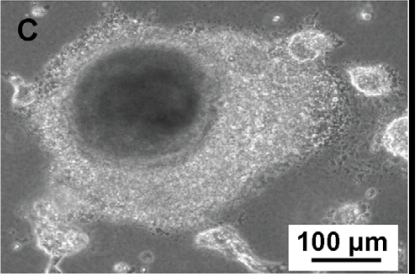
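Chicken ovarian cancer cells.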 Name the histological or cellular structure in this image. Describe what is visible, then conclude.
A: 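Large sphere-like structure. A very large rounded mass with a dark, dense centre fills the middle of the field. A paler granular rim of cells surrounds the dark core.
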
